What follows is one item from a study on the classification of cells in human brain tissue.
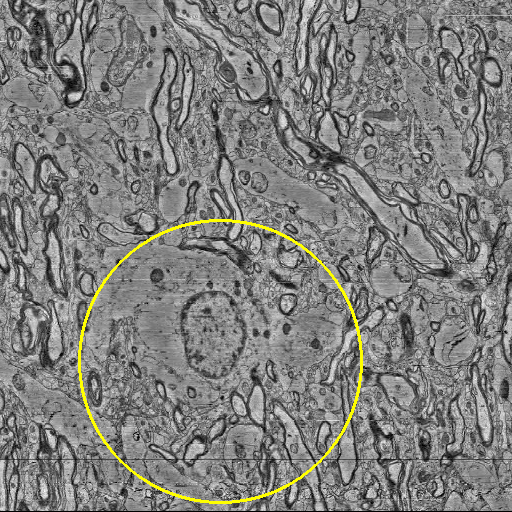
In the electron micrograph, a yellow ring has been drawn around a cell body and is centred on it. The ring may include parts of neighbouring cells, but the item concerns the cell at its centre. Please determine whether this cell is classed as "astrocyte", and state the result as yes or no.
yes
